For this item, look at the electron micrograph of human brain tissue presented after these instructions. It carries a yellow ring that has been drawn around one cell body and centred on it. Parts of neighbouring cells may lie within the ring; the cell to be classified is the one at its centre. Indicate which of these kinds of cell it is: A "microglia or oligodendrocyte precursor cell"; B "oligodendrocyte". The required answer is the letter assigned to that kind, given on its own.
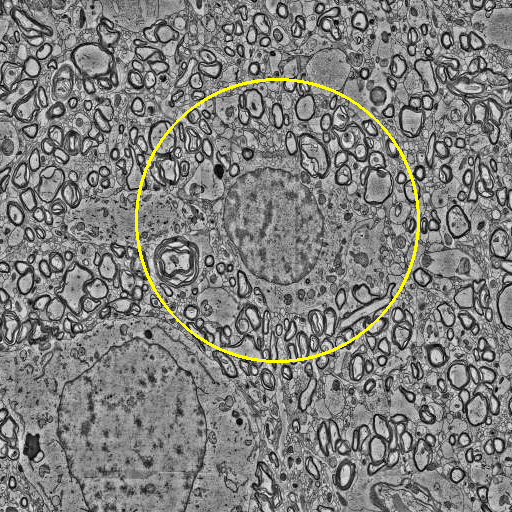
B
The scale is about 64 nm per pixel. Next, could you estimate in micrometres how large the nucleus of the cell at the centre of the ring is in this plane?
Approximately 7 micrometres across in this plane.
